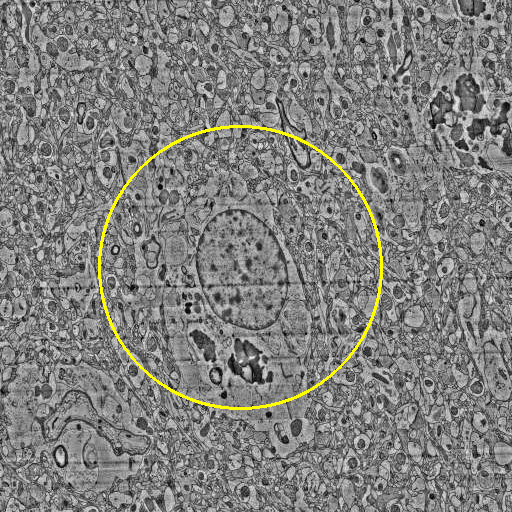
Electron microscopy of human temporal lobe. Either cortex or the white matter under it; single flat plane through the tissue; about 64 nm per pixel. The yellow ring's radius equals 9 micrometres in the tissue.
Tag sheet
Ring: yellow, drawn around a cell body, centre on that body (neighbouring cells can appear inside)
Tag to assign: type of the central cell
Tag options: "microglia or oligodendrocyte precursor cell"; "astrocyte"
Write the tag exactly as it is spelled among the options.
astrocyte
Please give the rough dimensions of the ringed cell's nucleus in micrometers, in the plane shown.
About 8 by 6 micrometres in this plane.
